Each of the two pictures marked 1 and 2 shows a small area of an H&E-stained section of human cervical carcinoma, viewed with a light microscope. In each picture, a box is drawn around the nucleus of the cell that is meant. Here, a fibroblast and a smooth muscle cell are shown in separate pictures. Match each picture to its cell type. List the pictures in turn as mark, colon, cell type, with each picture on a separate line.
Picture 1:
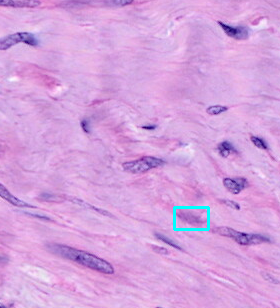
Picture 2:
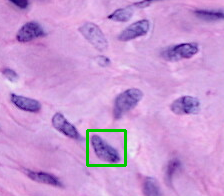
1: smooth muscle cell
2: fibroblast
